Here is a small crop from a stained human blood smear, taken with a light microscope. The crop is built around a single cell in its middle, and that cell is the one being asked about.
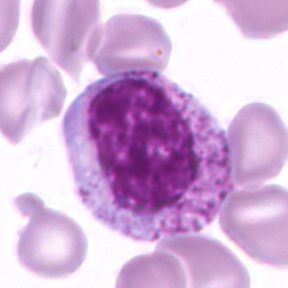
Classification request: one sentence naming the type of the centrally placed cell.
Among the cells in view, the one in the middle is a myelocyte.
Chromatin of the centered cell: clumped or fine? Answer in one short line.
You can see that its chromatin is coarsely clumped.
